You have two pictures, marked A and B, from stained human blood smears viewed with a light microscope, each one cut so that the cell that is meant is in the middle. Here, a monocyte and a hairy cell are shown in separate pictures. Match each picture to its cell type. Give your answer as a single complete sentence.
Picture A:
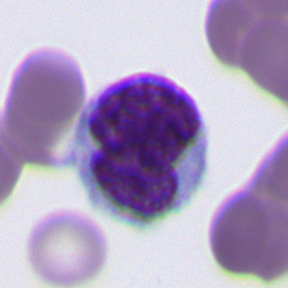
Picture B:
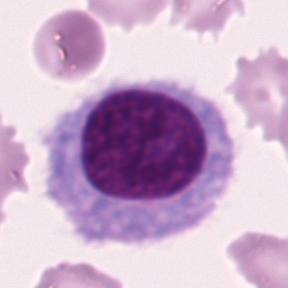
In picture A the cell is a monocyte; in picture B, a hairy cell.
